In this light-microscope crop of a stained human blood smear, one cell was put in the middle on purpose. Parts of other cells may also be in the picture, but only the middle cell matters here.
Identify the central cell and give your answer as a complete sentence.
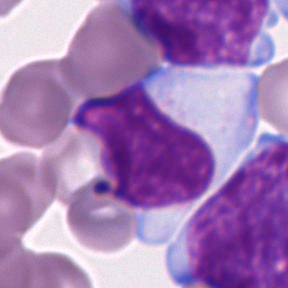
The cell around which this crop is centred is a blast.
